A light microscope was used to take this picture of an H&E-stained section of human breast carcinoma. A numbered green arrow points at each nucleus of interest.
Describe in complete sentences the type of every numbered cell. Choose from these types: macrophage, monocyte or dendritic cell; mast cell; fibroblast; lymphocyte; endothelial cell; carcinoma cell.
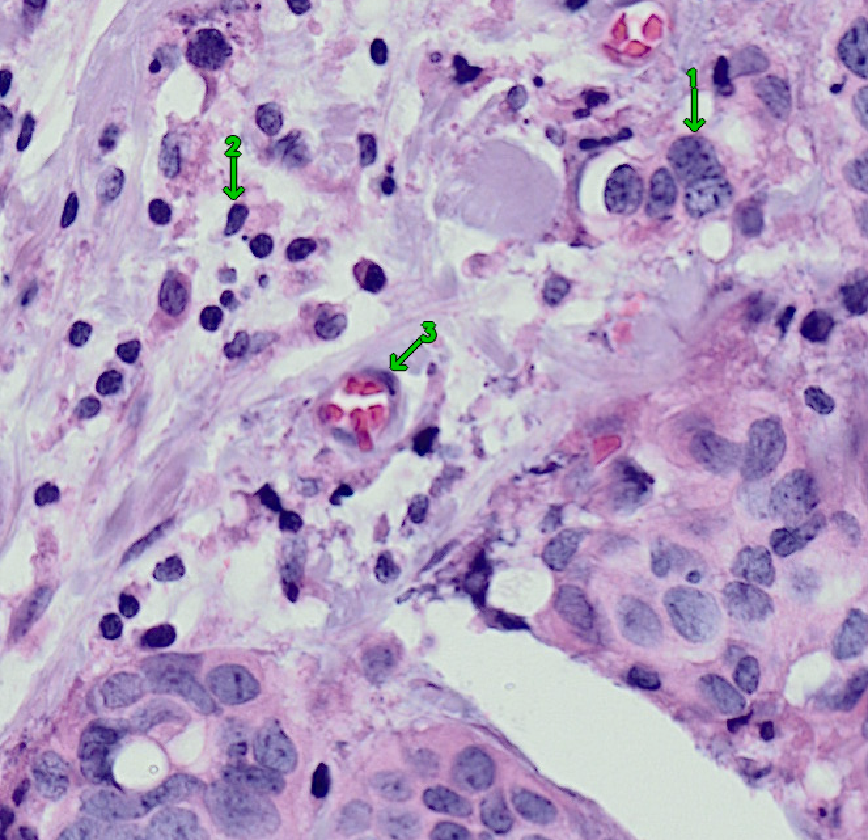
Cell 1 is a carcinoma cell, cell 2 is a lymphocyte and cell 3 is an endothelial cell.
